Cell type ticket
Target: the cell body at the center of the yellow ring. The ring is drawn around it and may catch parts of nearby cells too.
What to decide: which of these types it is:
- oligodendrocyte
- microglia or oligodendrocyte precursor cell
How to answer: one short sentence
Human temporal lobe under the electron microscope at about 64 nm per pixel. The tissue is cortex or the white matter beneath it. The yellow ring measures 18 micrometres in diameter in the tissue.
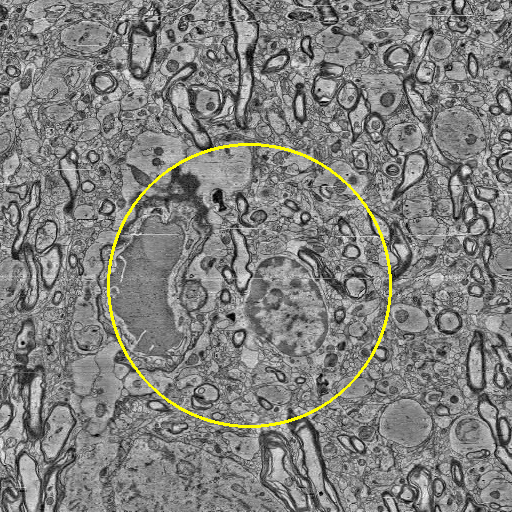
The cell at the center of the ring is a microglial cell or oligodendrocyte precursor cell.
